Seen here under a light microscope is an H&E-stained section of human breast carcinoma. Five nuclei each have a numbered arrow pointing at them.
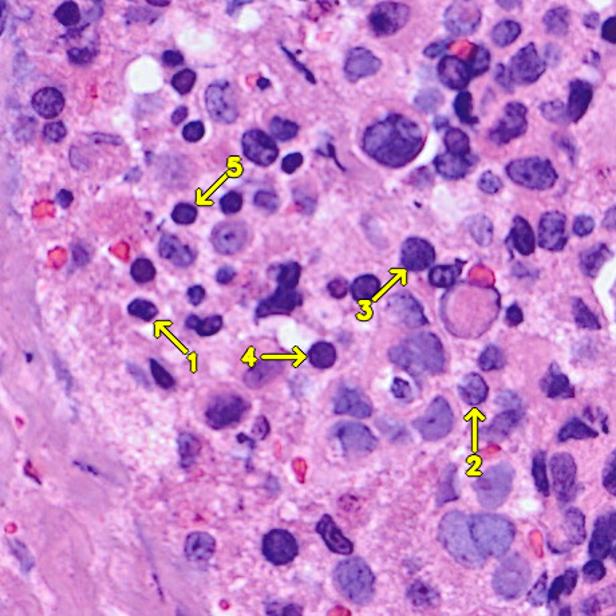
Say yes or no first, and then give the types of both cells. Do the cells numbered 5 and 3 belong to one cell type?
No, cell 5 counts as a lymphocyte, and cell 3 counts as a carcinoma cell.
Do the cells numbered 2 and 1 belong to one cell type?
No, cell 2 is a carcinoma cell, and cell 1, on the other hand, is a lymphocyte.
